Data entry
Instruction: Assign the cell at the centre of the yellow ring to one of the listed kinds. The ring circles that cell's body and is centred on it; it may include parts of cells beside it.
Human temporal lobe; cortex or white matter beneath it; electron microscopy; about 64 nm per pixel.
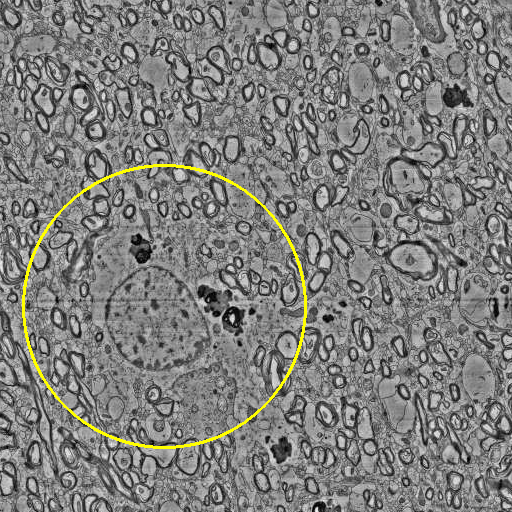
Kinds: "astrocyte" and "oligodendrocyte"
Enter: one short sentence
The centre of the ring falls on an astrocyte.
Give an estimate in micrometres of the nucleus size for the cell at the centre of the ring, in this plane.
Approximately 6 micrometres across, in this plane.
